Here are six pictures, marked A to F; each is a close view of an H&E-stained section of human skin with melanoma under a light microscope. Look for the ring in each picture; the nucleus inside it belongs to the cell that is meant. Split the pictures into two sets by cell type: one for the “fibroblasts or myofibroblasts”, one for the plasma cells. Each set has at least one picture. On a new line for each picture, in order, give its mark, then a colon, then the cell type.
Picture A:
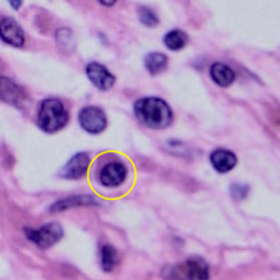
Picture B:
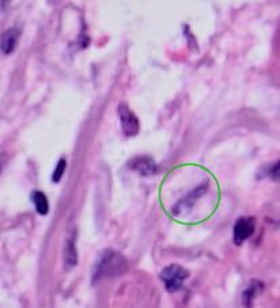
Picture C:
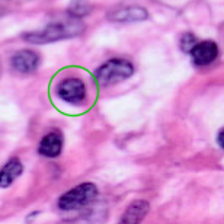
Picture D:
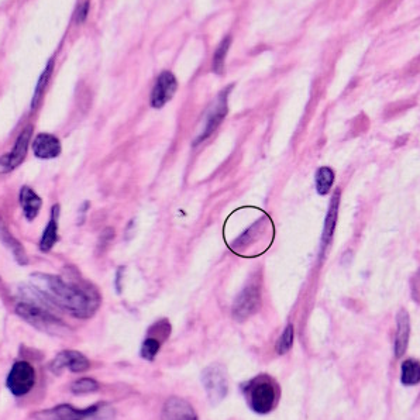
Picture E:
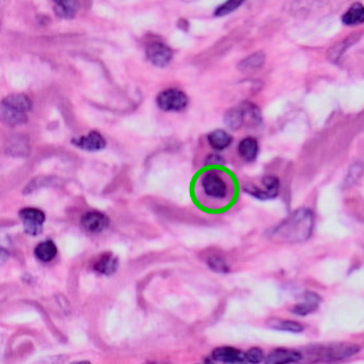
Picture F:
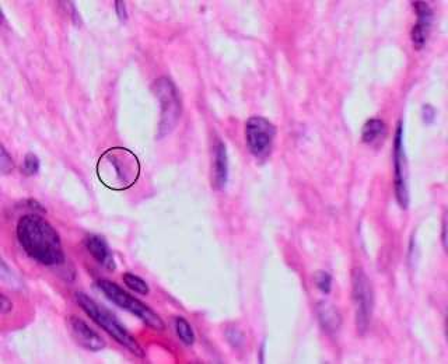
A: plasma cell
B: fibroblast or myofibroblast
C: plasma cell
D: fibroblast or myofibroblast
E: plasma cell
F: fibroblast or myofibroblast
